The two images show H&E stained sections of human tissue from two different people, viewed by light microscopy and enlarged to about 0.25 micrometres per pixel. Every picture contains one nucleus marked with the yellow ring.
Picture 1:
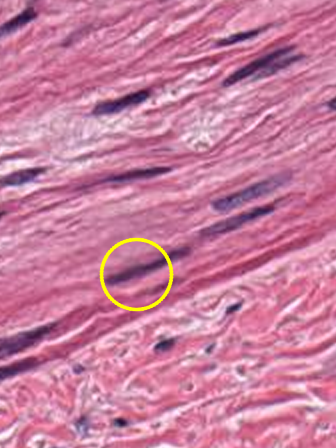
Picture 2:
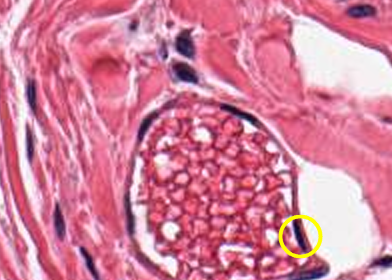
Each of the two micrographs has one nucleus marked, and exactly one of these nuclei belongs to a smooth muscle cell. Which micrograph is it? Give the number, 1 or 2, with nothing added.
1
